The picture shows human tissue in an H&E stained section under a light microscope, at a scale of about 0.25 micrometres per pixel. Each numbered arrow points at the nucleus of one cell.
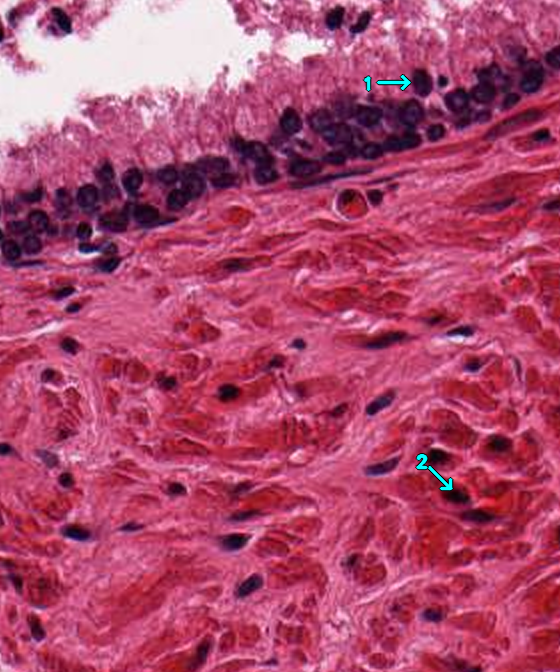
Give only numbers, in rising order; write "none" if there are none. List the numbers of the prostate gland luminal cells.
1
